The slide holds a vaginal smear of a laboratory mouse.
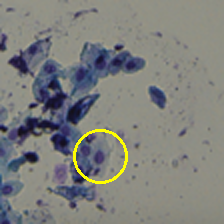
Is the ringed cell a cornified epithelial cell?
No, it is a nucleated epithelial cell.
